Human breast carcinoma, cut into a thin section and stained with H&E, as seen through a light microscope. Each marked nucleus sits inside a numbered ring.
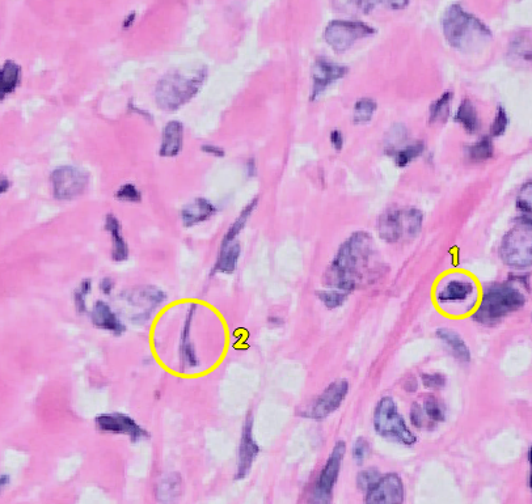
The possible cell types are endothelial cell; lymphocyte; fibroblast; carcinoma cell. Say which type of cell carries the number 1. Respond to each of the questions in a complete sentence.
In the marked set, the cell given number 1 is a lymphocyte.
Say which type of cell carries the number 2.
The expected answer is that cell 2 is a fibroblast.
